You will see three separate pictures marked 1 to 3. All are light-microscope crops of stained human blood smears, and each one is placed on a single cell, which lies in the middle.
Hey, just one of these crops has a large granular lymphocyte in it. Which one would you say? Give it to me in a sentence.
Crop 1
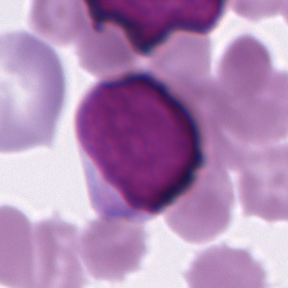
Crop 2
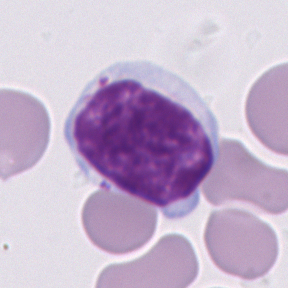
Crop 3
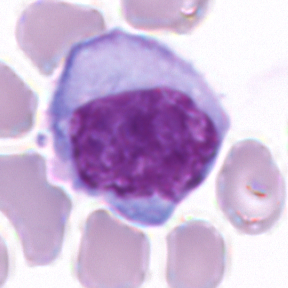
Crop 2 is the crop that shows a large granular lymphocyte in its middle.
